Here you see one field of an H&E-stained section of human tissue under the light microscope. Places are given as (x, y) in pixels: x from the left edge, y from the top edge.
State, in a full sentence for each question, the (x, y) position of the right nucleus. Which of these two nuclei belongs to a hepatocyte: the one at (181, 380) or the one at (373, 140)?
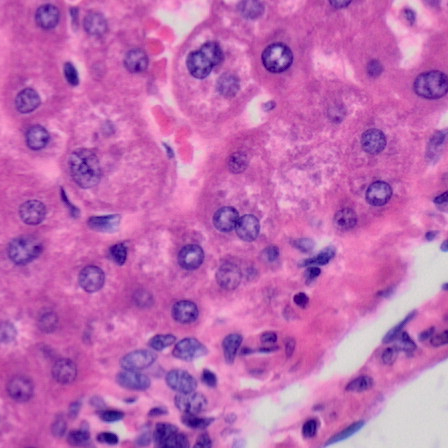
Housed in a hepatocyte is the nucleus at (373, 140), not the other one.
